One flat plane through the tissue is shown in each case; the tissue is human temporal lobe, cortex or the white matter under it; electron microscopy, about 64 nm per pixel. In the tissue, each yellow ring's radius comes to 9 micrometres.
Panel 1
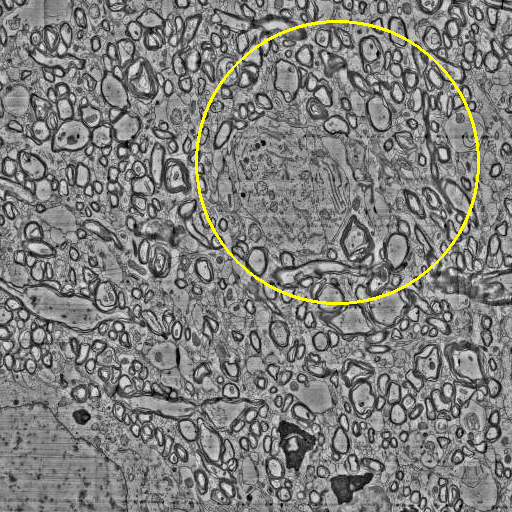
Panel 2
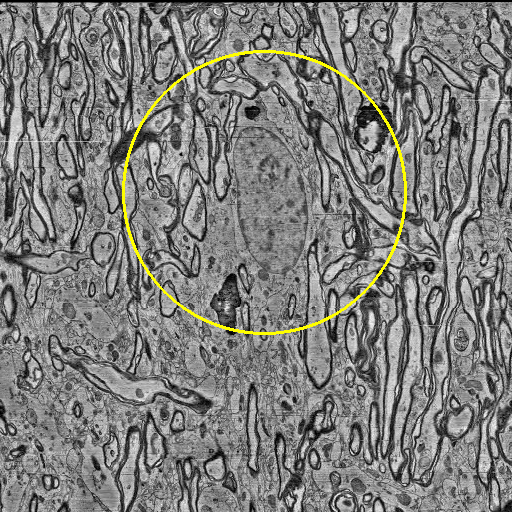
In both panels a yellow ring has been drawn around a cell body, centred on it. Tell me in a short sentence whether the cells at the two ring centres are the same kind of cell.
Yes, they are the same kind of cell.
